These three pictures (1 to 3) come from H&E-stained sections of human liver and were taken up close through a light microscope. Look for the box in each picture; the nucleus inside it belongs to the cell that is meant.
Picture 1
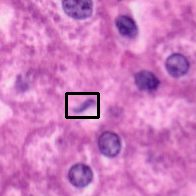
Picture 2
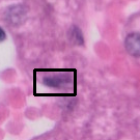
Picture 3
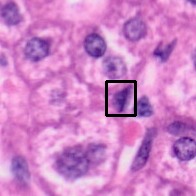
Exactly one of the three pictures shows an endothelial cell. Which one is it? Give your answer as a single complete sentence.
Picture 1 is the one that shows the endothelial cell.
